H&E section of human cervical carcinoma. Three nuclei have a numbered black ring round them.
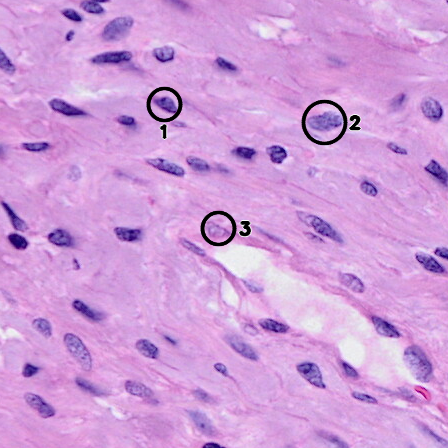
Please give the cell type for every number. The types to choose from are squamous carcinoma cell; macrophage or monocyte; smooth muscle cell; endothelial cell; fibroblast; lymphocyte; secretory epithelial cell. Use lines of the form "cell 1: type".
cell 1: fibroblast
cell 2: fibroblast
cell 3: endothelial cell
